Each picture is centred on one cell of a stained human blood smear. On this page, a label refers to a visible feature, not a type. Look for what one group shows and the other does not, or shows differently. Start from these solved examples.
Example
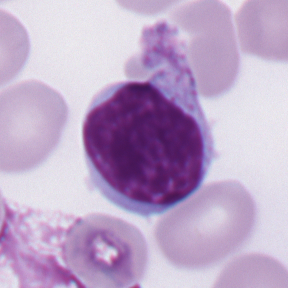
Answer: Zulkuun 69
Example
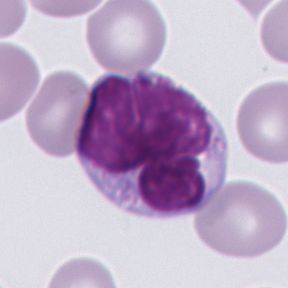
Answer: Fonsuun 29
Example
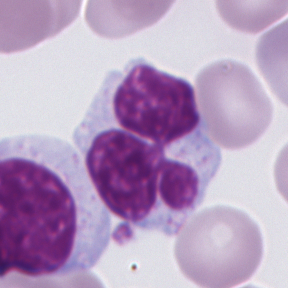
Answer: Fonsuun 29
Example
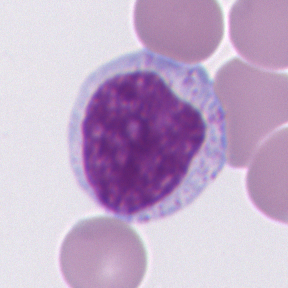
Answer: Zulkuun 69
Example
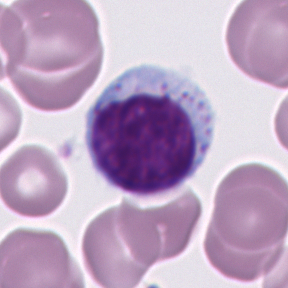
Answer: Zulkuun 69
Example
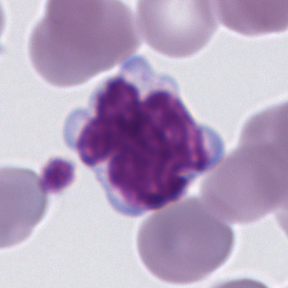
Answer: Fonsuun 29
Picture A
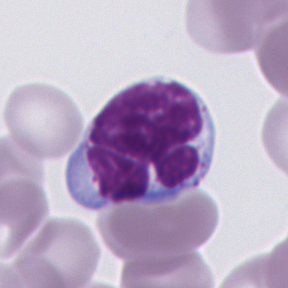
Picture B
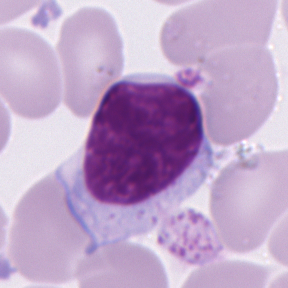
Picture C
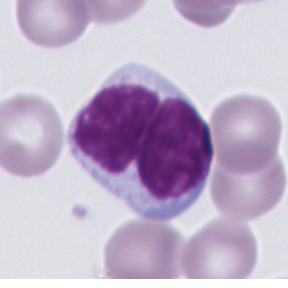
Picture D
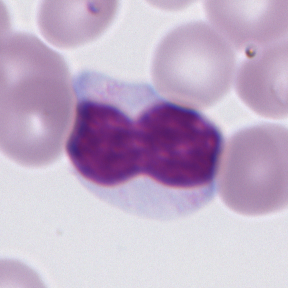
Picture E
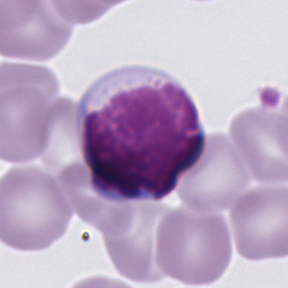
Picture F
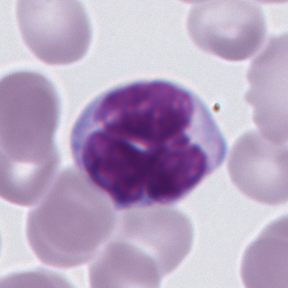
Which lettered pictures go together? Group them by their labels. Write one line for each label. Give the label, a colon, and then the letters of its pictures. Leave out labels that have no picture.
Zulkuun 69: B, E
Fonsuun 29: A, C, D, F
